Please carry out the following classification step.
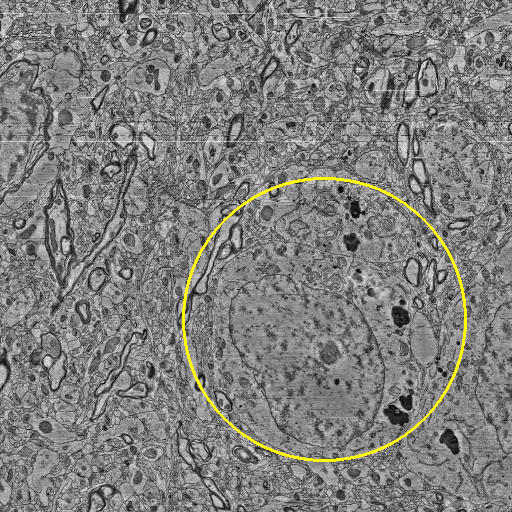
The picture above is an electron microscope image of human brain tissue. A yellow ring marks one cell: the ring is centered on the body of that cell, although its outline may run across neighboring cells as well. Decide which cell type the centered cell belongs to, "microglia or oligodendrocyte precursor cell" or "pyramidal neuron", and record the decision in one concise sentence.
The cell centered in the yellow ring is a pyramidal neuron.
